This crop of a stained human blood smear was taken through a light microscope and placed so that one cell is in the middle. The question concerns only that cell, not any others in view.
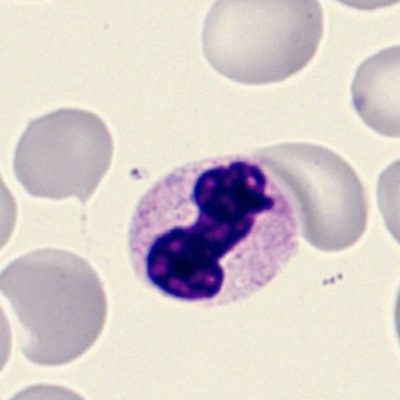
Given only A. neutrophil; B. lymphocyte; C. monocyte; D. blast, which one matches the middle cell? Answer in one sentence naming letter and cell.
That middle cell is a neutrophil, and option A is therefore correct.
